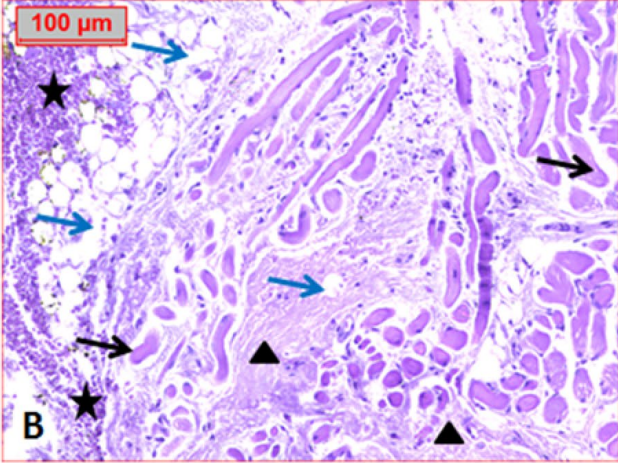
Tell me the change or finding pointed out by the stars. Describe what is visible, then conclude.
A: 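Dense sheets of small, dark purple round nuclei fill the area at the stars. Little cytoplasm or fibre structure is seen among these packed nuclei.
Inflammatory cell infiltrate.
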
